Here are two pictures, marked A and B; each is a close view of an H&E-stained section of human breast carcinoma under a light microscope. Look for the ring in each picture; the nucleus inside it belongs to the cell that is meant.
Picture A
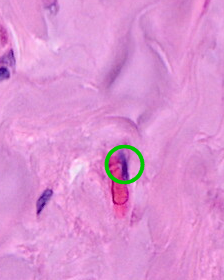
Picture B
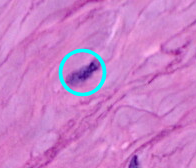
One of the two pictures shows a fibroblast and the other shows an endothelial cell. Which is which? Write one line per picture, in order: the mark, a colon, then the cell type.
A: endothelial cell
B: fibroblast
